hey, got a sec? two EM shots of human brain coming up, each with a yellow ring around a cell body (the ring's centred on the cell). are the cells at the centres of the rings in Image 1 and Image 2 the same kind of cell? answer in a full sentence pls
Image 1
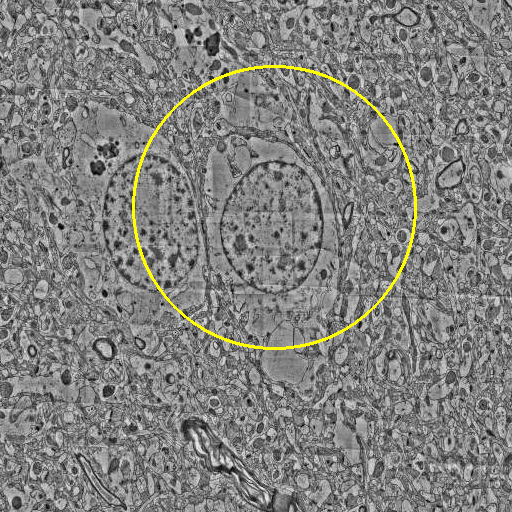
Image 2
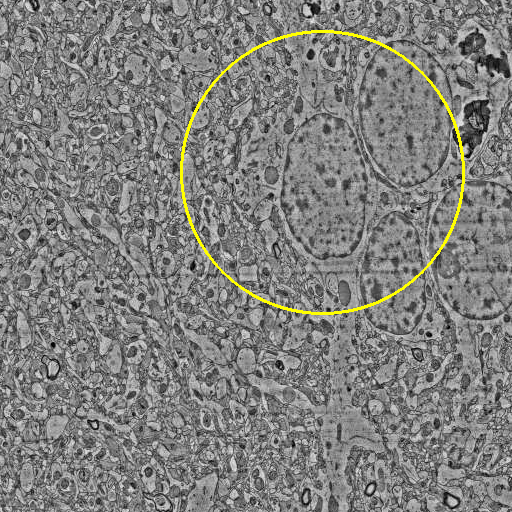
Yes, both are the same kind of cell.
